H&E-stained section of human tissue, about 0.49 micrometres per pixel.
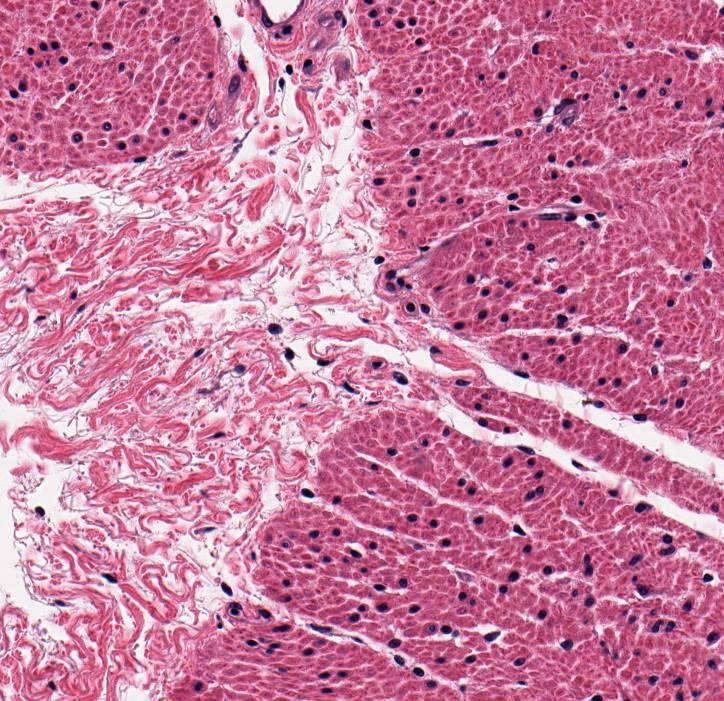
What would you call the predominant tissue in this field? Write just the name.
smooth muscle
